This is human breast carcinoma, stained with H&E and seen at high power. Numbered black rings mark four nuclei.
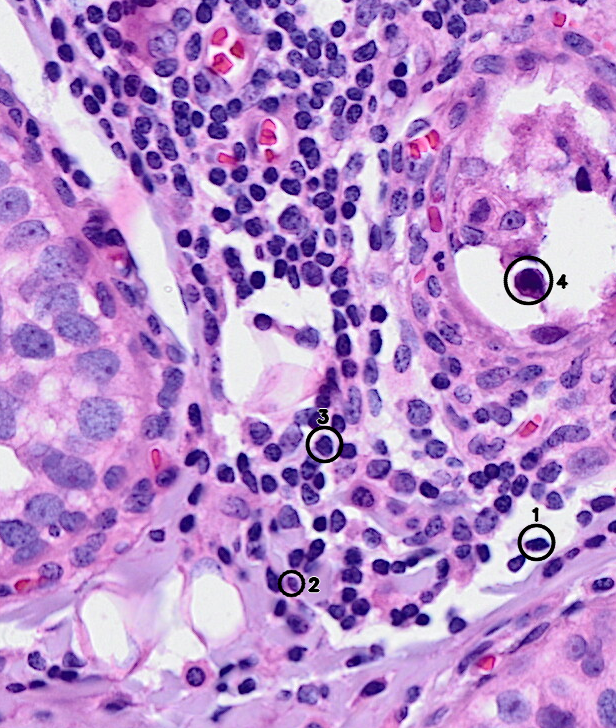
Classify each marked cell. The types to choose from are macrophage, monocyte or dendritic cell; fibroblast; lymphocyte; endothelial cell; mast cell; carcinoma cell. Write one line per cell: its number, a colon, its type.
1: lymphocyte
2: lymphocyte
3: lymphocyte
4: carcinoma cell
